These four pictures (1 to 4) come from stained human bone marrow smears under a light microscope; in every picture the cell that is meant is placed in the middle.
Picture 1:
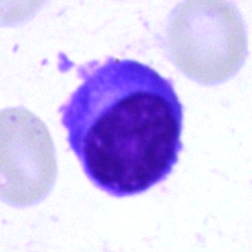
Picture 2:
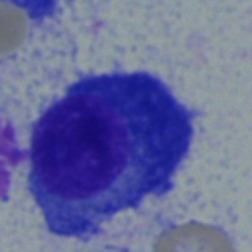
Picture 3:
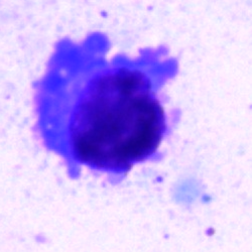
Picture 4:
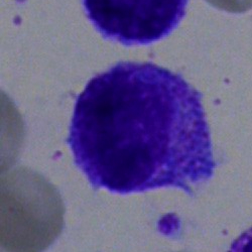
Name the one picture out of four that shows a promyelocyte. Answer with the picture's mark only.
4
